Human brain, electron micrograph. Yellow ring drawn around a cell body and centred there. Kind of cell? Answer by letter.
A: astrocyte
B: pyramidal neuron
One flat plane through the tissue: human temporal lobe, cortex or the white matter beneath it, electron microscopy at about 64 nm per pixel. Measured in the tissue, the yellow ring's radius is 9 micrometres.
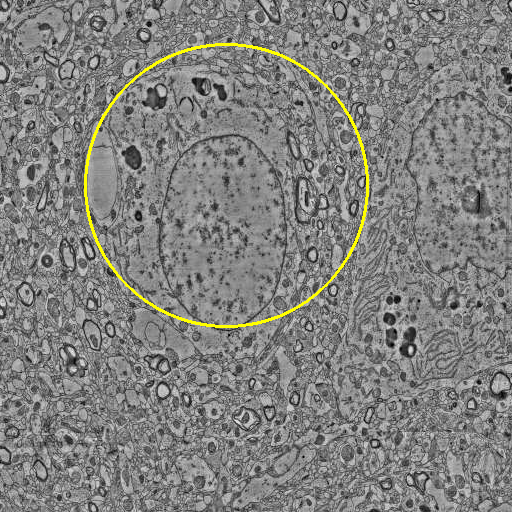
B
